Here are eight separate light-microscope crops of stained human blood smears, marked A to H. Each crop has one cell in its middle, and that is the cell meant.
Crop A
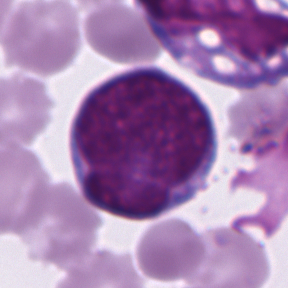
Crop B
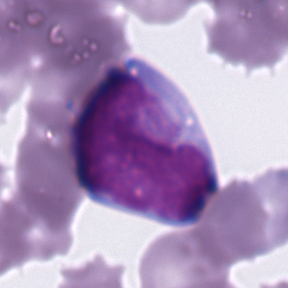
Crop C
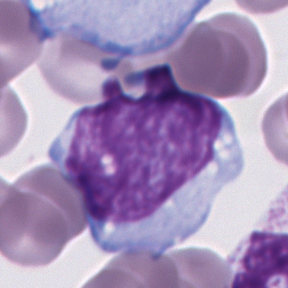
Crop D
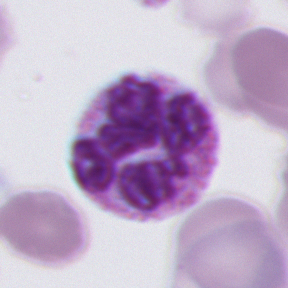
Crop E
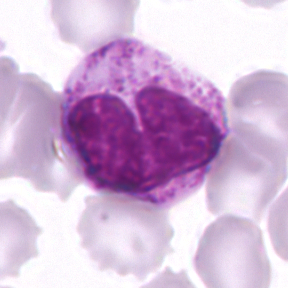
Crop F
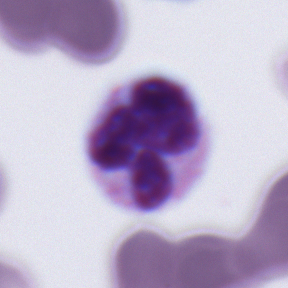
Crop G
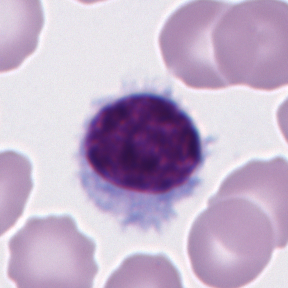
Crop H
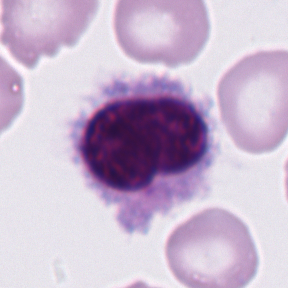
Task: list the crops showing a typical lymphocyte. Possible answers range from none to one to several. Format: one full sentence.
Of all the crops provided, none shows a typical lymphocyte.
